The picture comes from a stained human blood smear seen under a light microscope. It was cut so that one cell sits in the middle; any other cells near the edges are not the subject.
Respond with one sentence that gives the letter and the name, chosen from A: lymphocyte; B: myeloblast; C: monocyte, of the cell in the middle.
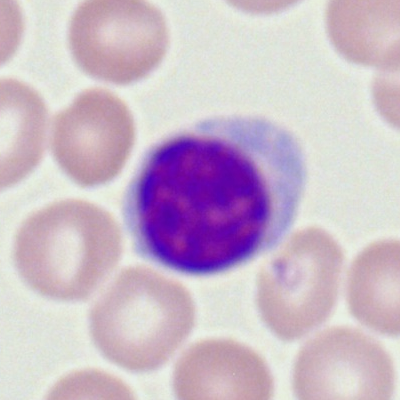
Option A holds up: the cell in the middle is a lymphocyte.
